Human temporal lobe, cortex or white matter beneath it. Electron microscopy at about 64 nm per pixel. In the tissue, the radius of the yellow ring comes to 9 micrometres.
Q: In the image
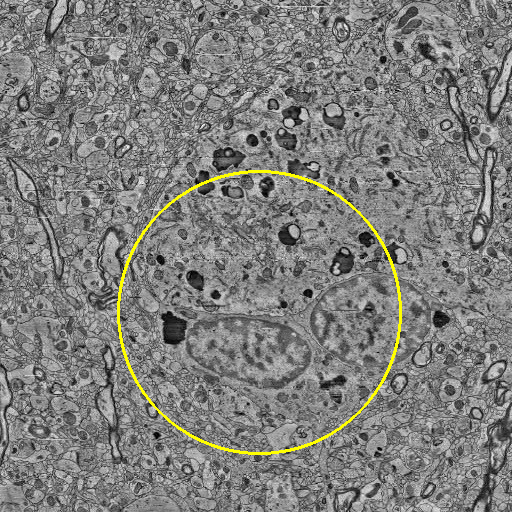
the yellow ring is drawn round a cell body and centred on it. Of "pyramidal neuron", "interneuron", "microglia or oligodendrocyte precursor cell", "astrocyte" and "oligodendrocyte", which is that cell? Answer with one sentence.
The cell centred in the ring is an oligodendrocyte.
